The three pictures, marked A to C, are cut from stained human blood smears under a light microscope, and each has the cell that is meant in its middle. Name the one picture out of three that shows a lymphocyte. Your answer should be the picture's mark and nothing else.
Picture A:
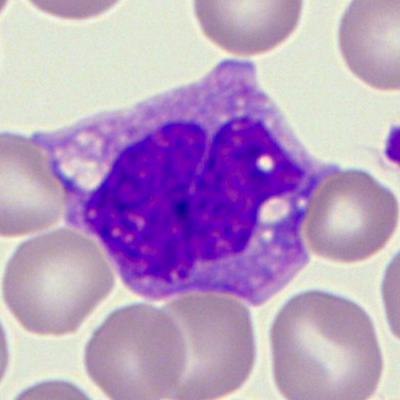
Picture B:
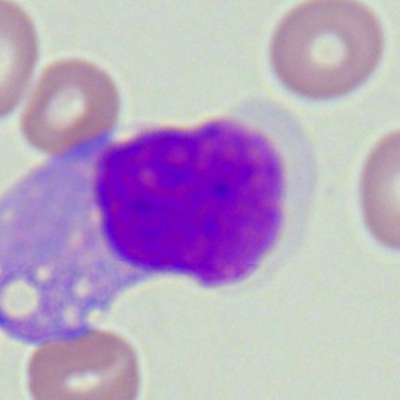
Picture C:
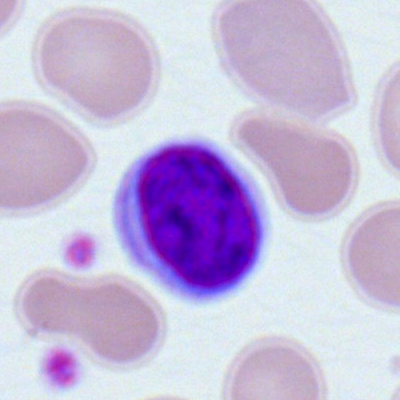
C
